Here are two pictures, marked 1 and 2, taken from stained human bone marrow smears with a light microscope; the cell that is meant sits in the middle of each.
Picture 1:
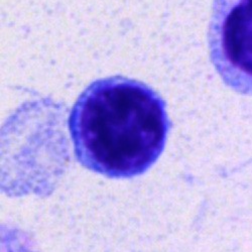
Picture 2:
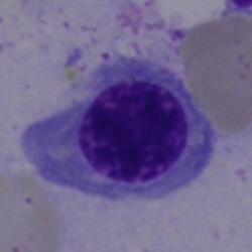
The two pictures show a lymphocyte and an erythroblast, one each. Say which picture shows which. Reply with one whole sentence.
It is picture 1 that shows a lymphocyte, and picture 2 that shows an erythroblast.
